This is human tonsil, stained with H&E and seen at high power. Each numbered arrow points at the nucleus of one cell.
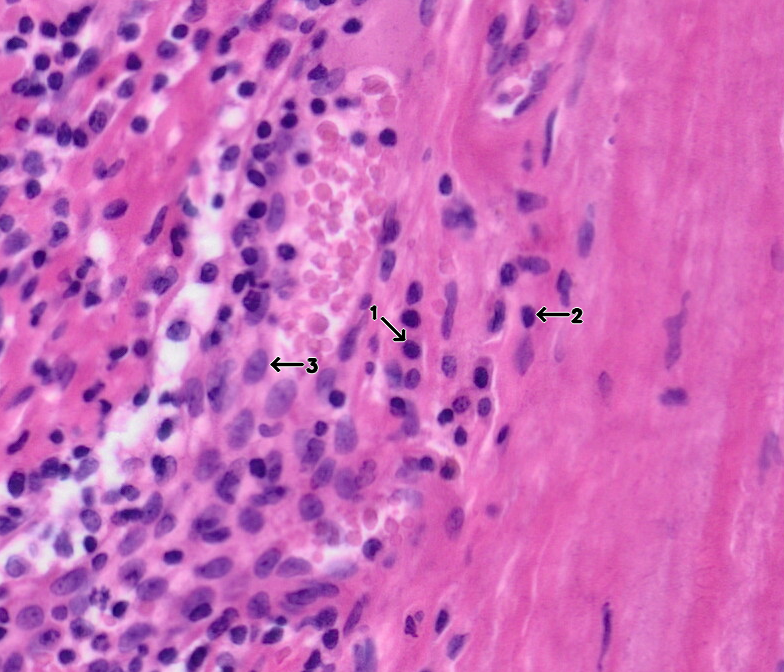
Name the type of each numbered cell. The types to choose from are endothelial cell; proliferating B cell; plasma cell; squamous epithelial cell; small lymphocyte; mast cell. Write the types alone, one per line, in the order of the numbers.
plasma cell
mast cell
endothelial cell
